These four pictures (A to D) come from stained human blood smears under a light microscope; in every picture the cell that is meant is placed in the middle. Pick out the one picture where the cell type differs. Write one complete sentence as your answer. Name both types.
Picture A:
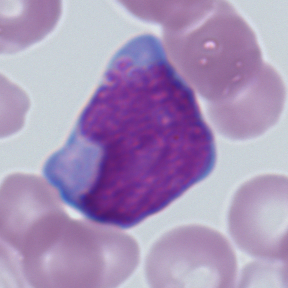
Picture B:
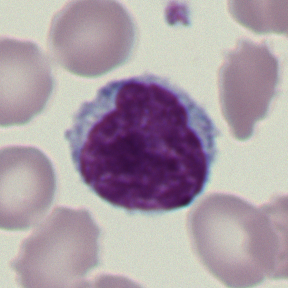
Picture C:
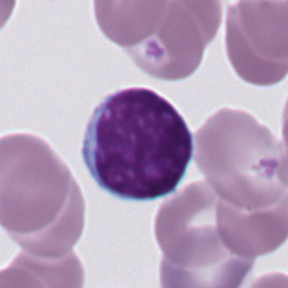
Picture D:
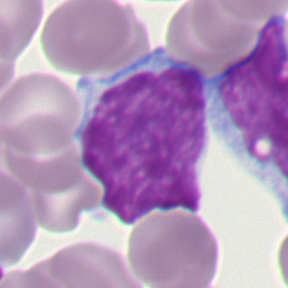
Unlike the rest, which show typical lymphocytes, picture A shows a myeloblast.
